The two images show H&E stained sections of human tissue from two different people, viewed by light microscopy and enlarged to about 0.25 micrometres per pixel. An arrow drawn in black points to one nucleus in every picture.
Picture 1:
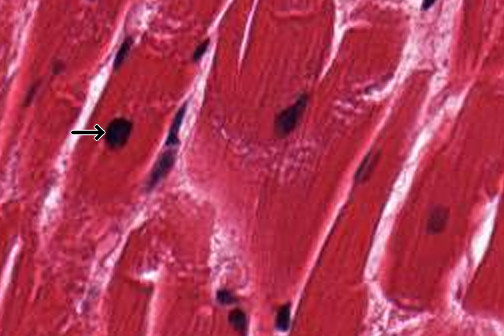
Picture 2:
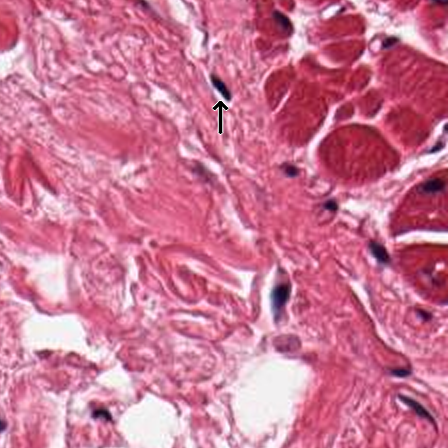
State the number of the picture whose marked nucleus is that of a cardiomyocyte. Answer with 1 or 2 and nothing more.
1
